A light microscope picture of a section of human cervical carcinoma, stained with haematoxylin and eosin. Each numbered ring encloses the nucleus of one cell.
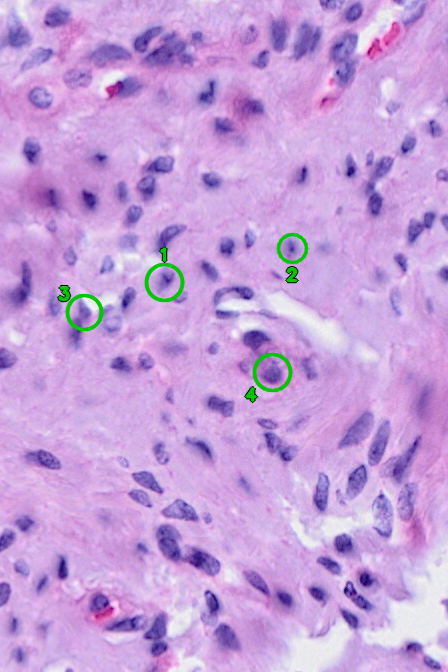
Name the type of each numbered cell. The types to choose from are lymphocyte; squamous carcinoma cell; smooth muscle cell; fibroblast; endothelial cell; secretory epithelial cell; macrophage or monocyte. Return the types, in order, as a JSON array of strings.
["fibroblast", "fibroblast", "fibroblast", "endothelial cell"]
